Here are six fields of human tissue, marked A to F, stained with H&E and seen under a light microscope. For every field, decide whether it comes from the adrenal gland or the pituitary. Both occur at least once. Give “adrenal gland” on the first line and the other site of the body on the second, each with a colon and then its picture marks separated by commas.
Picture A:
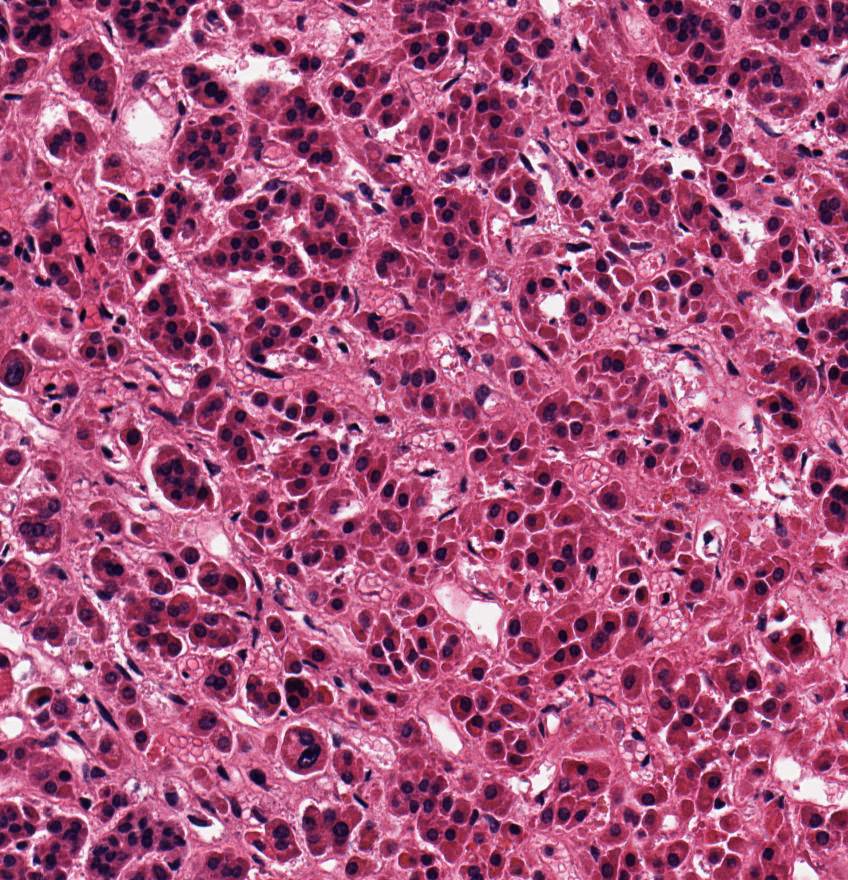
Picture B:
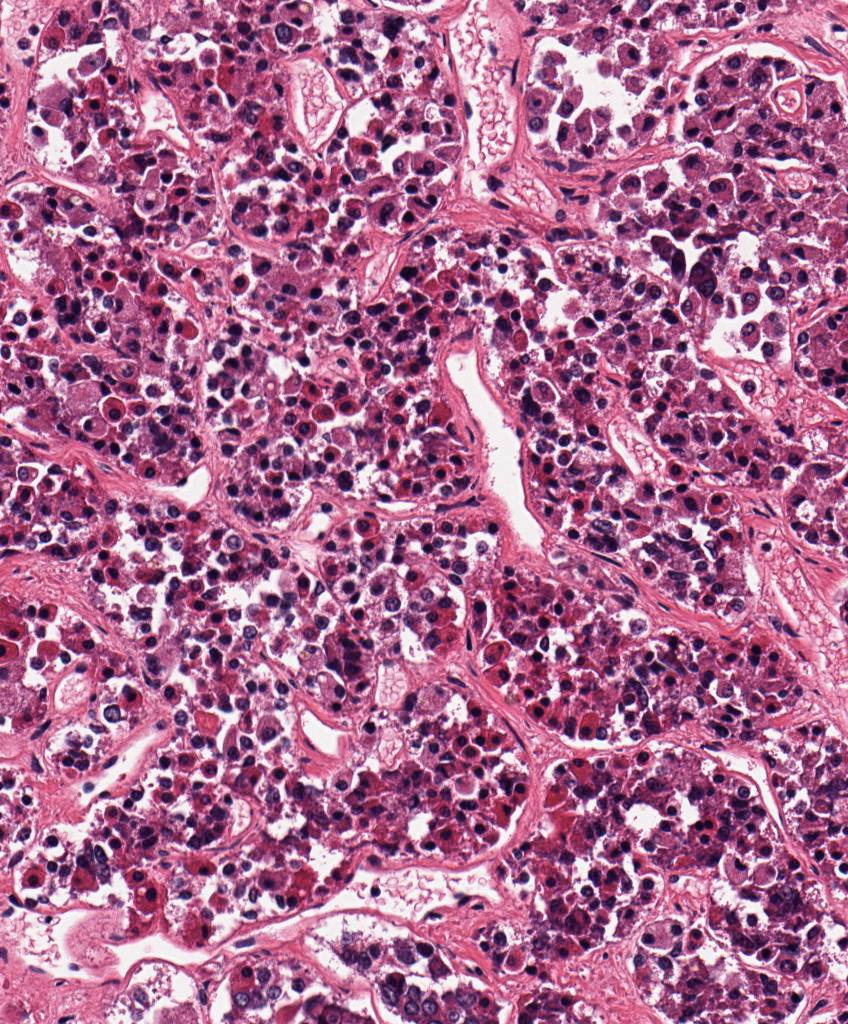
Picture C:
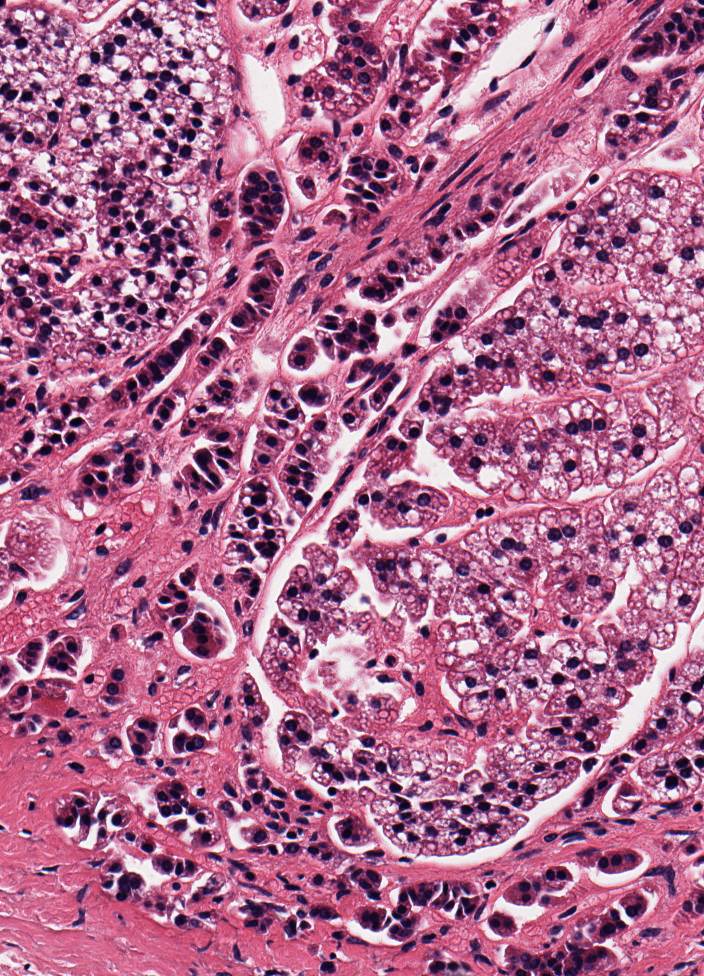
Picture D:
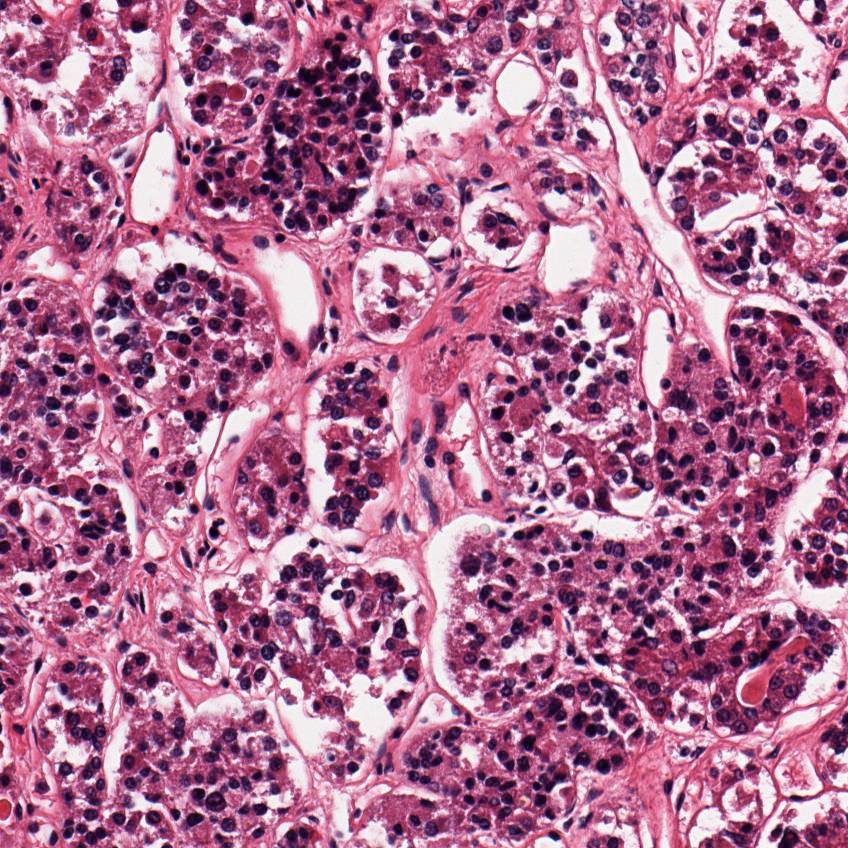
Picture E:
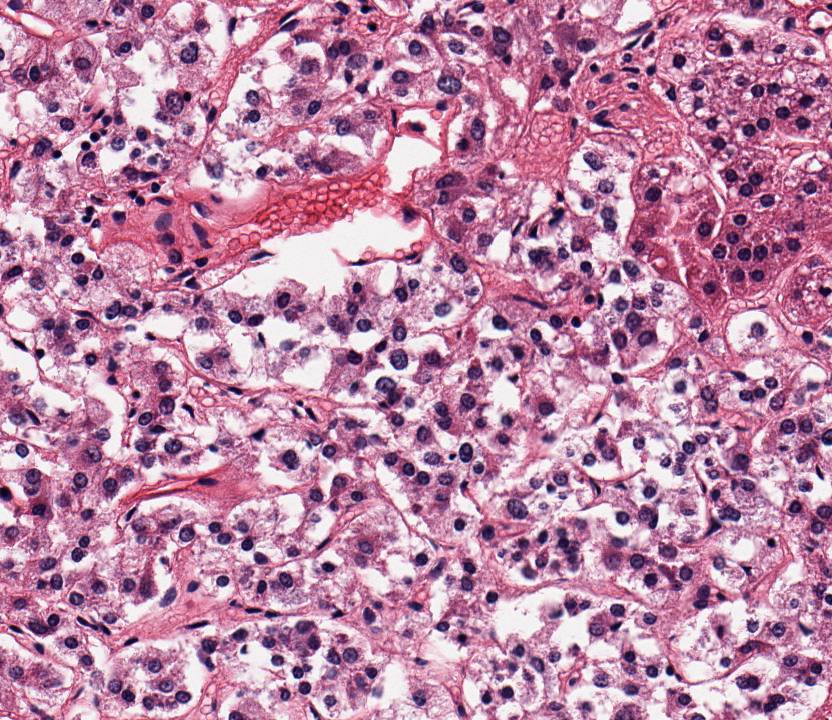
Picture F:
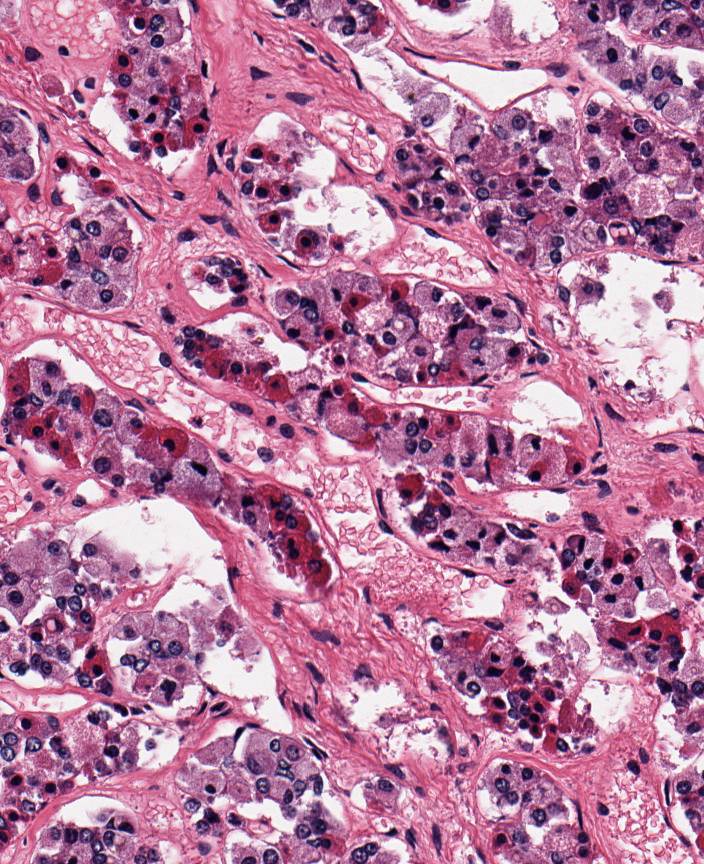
adrenal gland: A, C, E
pituitary: B, D, F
